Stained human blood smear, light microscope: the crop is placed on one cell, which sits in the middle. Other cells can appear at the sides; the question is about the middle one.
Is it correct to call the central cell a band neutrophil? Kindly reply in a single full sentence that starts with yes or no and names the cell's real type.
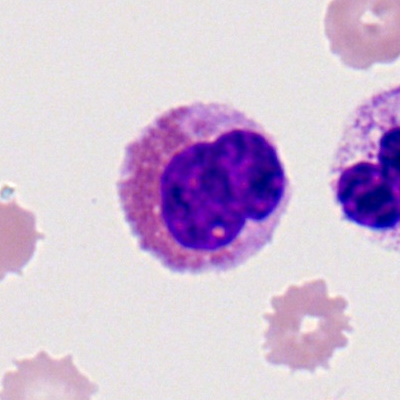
No, the central cell is reported as an eosinophil rather than as a band neutrophil.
